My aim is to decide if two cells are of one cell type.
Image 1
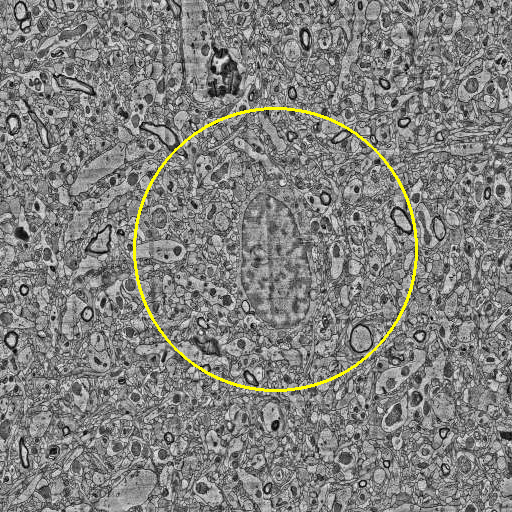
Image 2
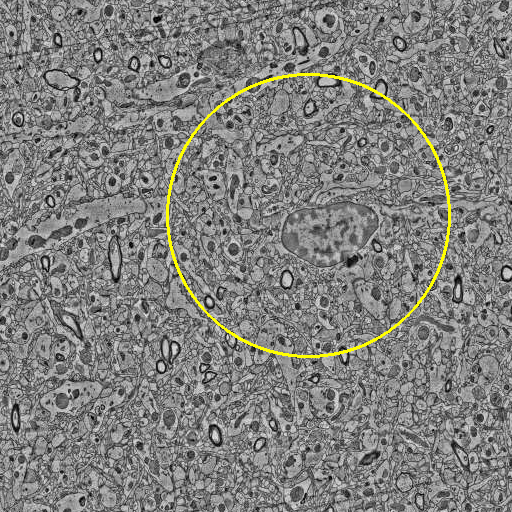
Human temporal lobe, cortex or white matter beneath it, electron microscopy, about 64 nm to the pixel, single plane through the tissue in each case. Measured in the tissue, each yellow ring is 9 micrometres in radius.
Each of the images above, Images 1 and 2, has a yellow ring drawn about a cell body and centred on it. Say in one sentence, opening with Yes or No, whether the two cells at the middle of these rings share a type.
No, in Images 1 and 2 the cells at the middle of the rings fall into two types.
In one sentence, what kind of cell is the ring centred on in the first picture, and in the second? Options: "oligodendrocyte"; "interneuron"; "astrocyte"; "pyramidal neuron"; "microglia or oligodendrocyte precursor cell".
The cell at the centre of the second ring is a microglial cell or oligodendrocyte precursor cell; the first ring's cell is an oligodendrocyte.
